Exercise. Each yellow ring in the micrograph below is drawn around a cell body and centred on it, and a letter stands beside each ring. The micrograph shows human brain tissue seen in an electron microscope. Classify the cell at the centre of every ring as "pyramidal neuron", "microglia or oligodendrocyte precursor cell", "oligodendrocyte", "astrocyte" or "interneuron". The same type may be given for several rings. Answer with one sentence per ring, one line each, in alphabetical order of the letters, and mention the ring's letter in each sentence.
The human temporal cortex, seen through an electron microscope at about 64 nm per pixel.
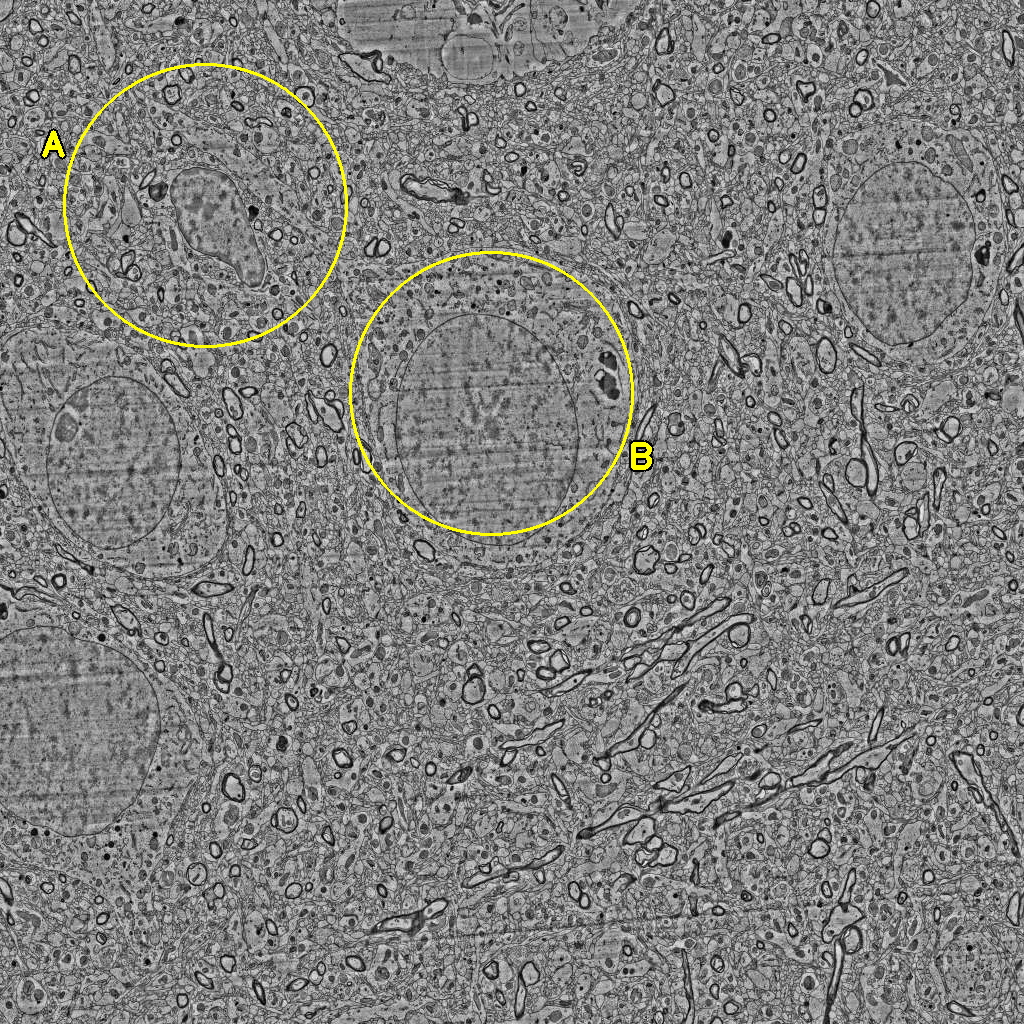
In ring A, the central cell is a microglial cell or oligodendrocyte precursor cell.
In ring B, the central cell is a pyramidal neuron.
